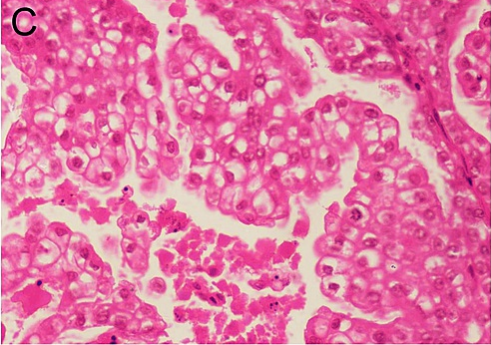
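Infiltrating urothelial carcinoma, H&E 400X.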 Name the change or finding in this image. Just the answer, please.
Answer: Clear cell variant.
